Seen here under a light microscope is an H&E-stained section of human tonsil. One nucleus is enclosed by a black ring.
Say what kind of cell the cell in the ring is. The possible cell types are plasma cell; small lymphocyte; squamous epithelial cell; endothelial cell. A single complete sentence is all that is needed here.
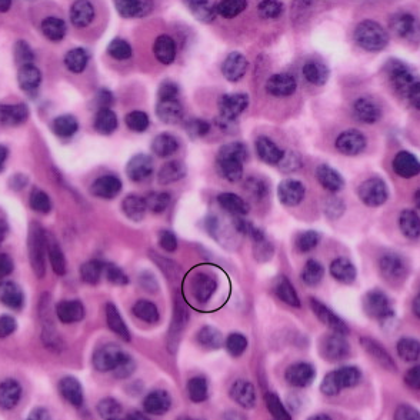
Microscopically, the cell in the ring is categorized as a plasma cell.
